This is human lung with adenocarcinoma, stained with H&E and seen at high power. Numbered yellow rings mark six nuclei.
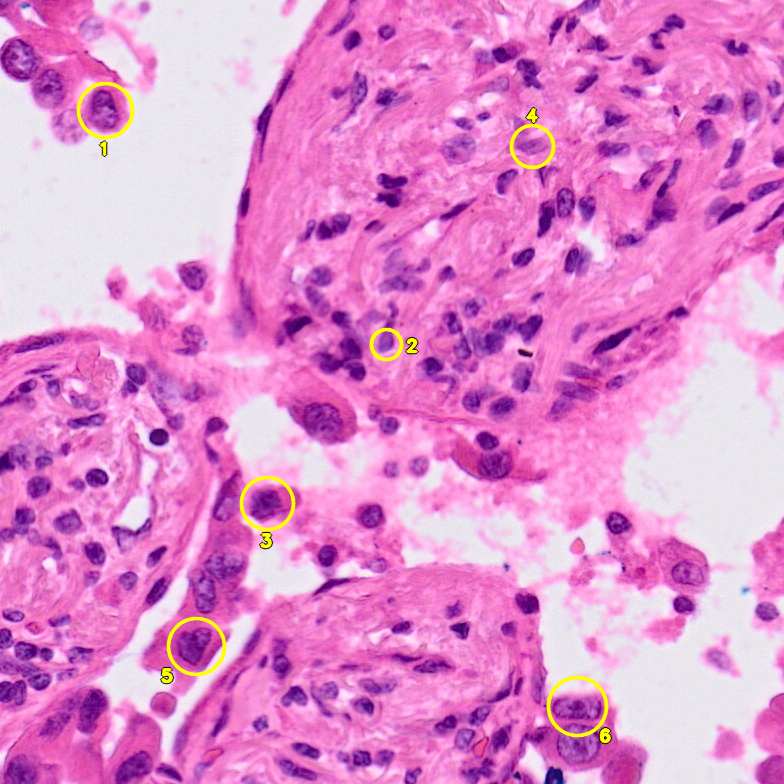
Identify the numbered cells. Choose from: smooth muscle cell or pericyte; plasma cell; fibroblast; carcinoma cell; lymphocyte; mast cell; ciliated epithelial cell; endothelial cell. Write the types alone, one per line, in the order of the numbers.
carcinoma cell
lymphocyte
carcinoma cell
fibroblast
carcinoma cell
carcinoma cell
